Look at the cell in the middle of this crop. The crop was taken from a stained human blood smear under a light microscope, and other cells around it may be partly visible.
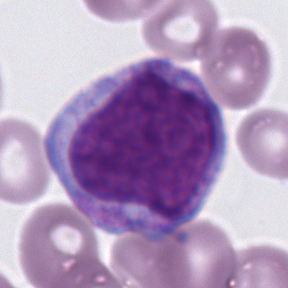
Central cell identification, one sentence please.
The cell found in the middle of this crop is an atypical promyelocyte.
